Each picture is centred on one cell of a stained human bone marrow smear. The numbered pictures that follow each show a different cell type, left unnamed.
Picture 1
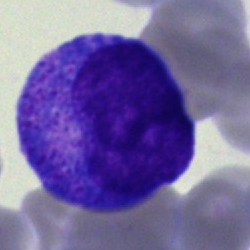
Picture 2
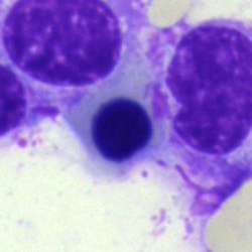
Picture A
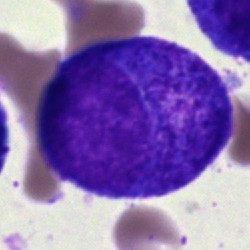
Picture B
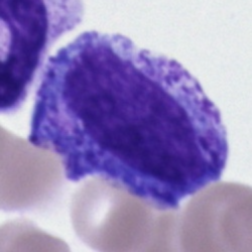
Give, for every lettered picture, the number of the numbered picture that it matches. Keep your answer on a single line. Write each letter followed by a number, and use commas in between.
A 1, B 1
